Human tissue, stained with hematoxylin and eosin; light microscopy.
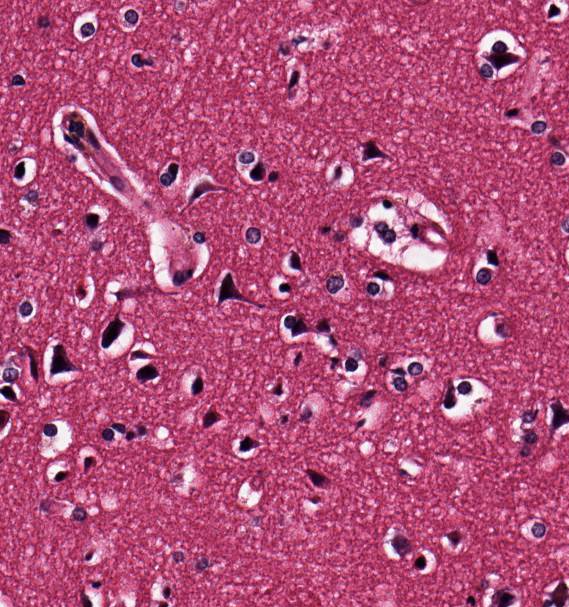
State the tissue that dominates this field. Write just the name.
cerebral cortex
